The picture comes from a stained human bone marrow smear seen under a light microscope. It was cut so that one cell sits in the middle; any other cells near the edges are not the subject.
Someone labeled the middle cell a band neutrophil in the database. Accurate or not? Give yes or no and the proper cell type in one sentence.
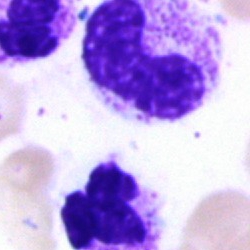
Yes, the middle cell is properly termed a band neutrophil.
